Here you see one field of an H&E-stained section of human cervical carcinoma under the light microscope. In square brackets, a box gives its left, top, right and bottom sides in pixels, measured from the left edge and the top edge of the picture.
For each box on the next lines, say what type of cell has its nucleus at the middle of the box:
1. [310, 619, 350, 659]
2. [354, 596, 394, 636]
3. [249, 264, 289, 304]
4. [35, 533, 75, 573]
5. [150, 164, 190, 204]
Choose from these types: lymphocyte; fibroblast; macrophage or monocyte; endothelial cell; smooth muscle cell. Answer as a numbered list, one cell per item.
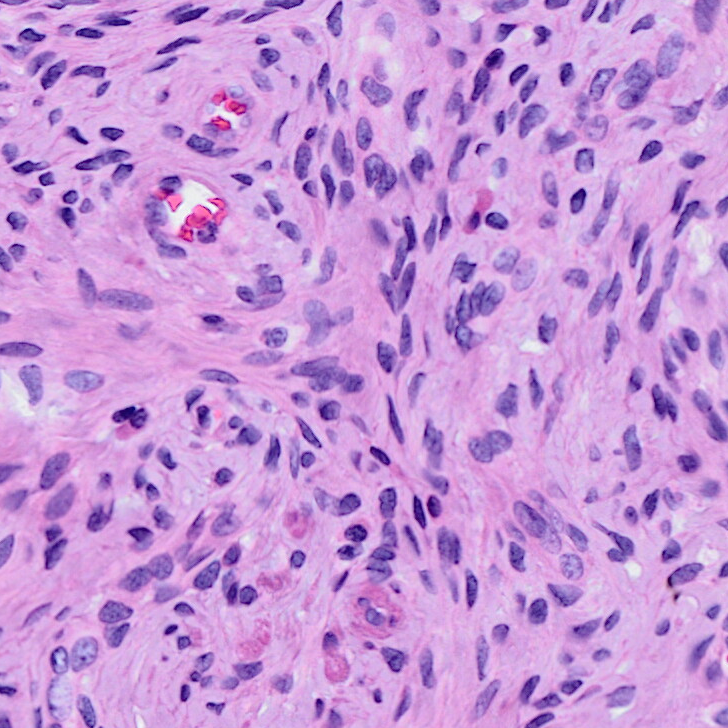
1. smooth muscle cell
2. smooth muscle cell
3. fibroblast
4. fibroblast
5. endothelial cell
